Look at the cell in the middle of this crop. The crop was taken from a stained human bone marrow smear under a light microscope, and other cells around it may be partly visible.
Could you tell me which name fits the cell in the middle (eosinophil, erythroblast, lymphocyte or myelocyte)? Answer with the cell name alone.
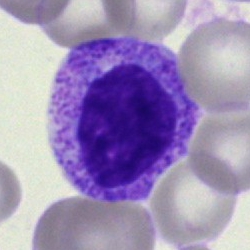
myelocyte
